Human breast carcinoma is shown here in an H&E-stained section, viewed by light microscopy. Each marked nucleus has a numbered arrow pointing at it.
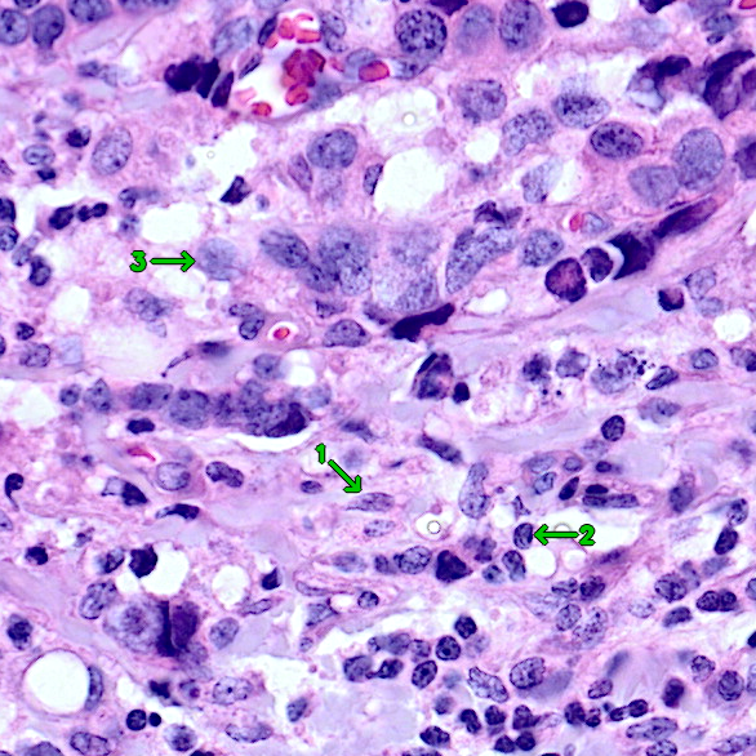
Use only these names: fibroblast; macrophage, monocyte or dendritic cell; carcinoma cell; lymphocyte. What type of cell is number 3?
carcinoma cell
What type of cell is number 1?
macrophage, monocyte or dendritic cell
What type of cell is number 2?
lymphocyte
